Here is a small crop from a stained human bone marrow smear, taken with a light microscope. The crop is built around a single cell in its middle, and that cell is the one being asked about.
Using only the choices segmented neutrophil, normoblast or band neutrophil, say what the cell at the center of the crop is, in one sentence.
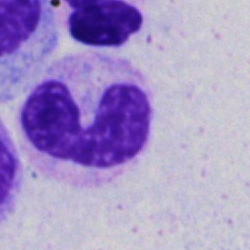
As for the cell in the middle, it is a band neutrophil.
